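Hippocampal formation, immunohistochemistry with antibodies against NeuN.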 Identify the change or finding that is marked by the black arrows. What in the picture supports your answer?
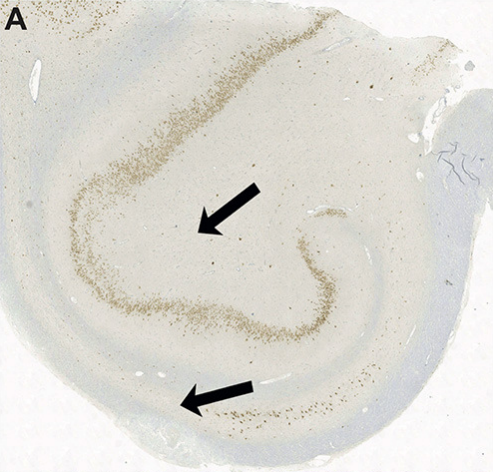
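The band of brown-stained neurons is interrupted and sparse where the lower arrow points. The granule cell band stays densely stained.
Conclusion: subtotal segmental neuronal loss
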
